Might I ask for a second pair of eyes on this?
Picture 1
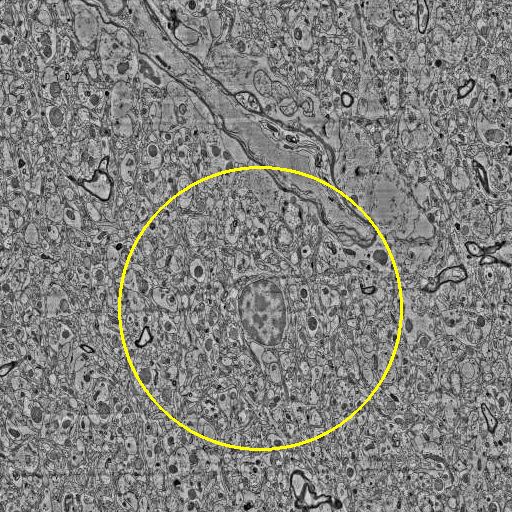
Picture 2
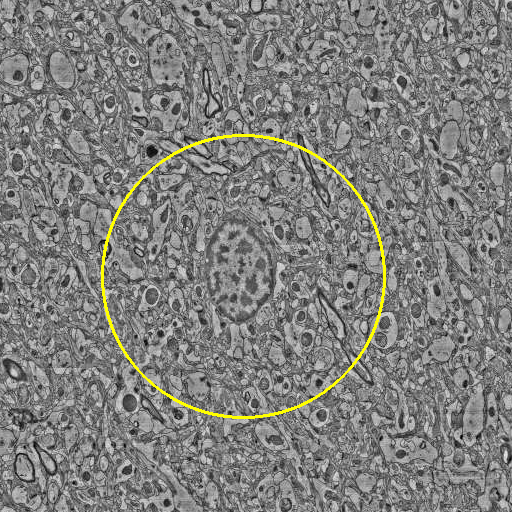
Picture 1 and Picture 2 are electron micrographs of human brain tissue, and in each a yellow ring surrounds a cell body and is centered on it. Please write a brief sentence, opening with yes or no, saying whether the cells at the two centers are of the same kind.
No, the cells are of two kinds.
